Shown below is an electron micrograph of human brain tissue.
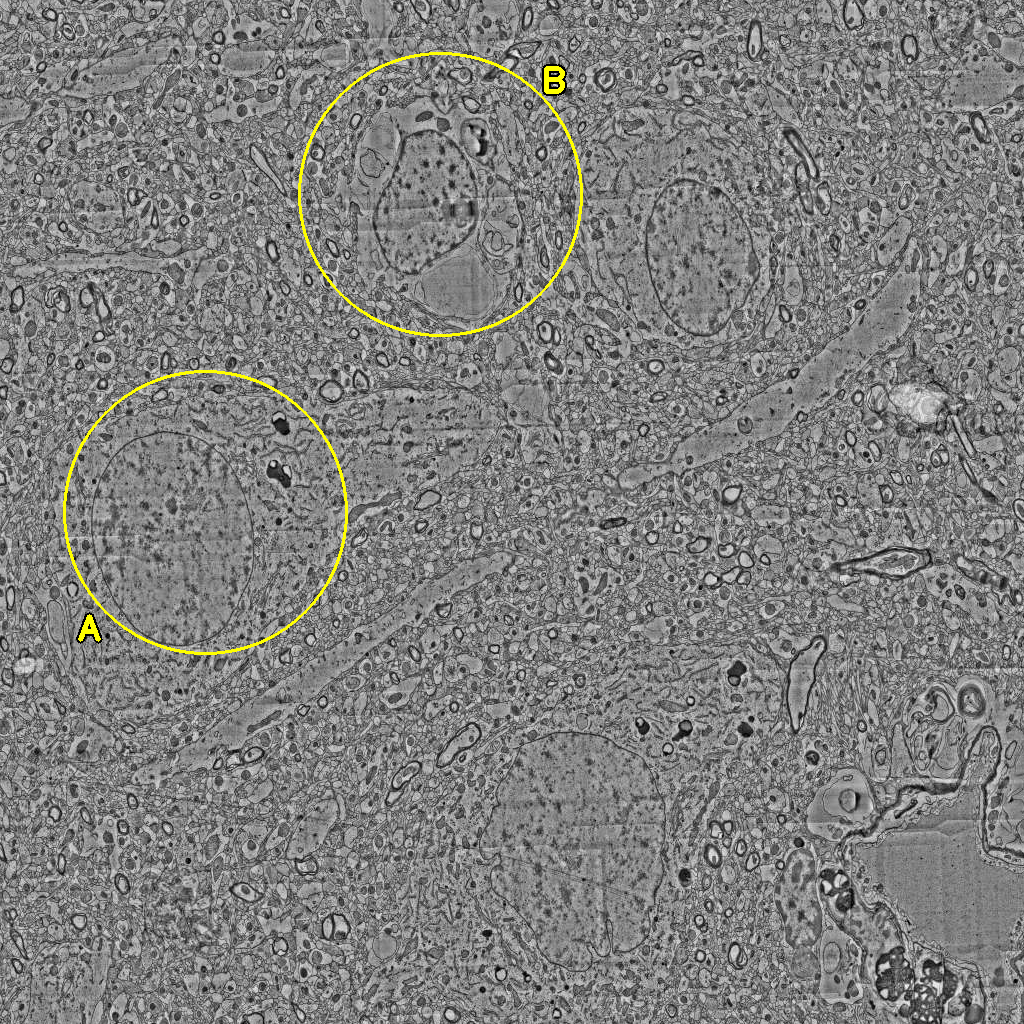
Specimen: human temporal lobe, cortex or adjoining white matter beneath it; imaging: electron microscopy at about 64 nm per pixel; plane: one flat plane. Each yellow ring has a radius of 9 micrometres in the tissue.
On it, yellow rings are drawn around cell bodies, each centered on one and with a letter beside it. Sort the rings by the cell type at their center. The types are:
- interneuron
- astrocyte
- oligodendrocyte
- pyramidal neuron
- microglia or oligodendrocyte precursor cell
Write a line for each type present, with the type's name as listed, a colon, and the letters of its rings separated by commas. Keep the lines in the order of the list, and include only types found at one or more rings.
astrocyte: B
pyramidal neuron: A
